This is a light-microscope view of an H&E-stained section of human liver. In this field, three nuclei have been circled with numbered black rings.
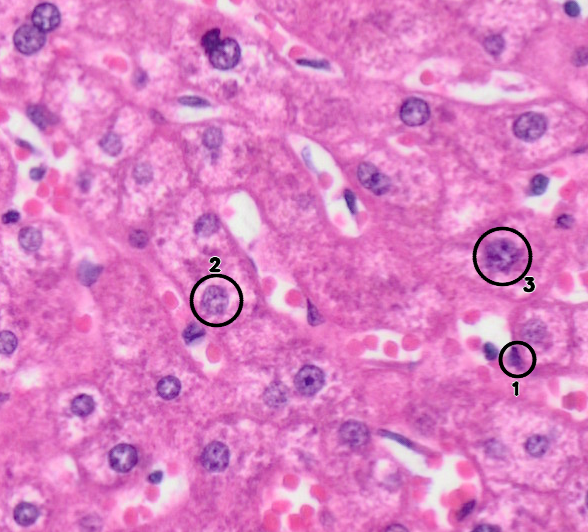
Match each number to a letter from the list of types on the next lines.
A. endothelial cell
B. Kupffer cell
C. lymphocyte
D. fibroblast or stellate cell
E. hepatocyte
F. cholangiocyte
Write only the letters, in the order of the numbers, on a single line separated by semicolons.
D; E; E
